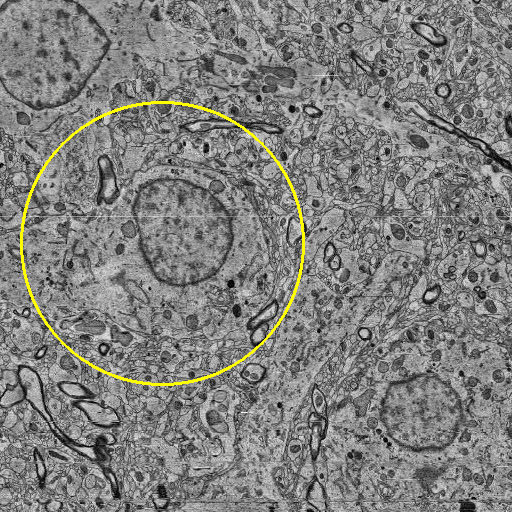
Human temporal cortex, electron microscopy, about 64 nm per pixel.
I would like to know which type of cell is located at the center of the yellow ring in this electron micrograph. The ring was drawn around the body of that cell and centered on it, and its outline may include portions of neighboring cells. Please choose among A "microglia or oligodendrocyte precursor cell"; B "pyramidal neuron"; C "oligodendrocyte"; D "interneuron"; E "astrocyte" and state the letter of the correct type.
B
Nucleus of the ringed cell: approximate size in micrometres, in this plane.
The nucleus is approximately 7 micrometers long by 6 micrometers wide in this plane.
